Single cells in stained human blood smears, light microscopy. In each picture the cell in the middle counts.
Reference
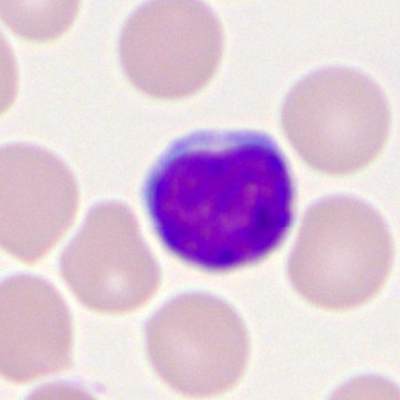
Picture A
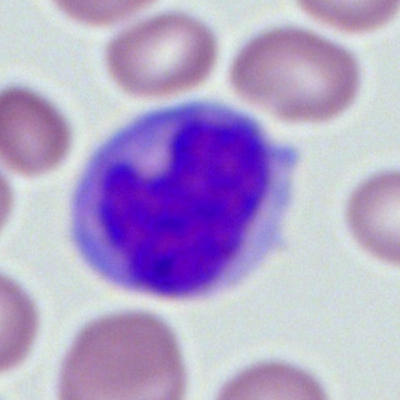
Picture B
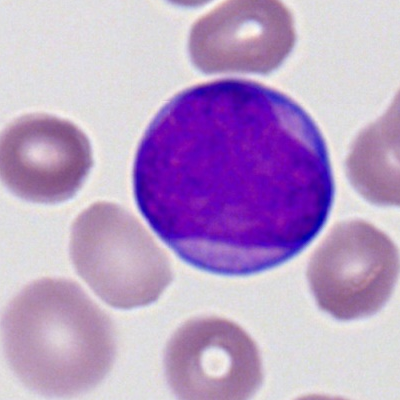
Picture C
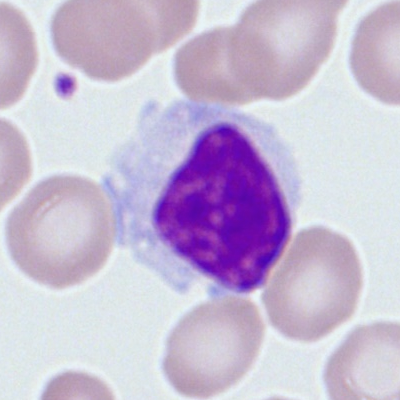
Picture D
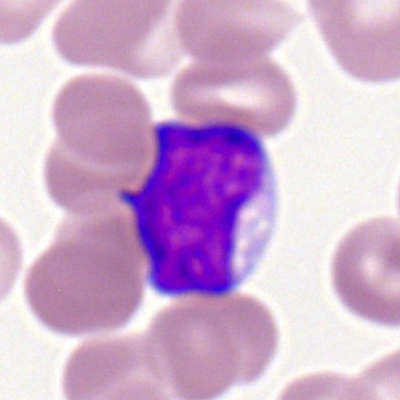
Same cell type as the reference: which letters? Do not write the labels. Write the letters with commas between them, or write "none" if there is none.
C, D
